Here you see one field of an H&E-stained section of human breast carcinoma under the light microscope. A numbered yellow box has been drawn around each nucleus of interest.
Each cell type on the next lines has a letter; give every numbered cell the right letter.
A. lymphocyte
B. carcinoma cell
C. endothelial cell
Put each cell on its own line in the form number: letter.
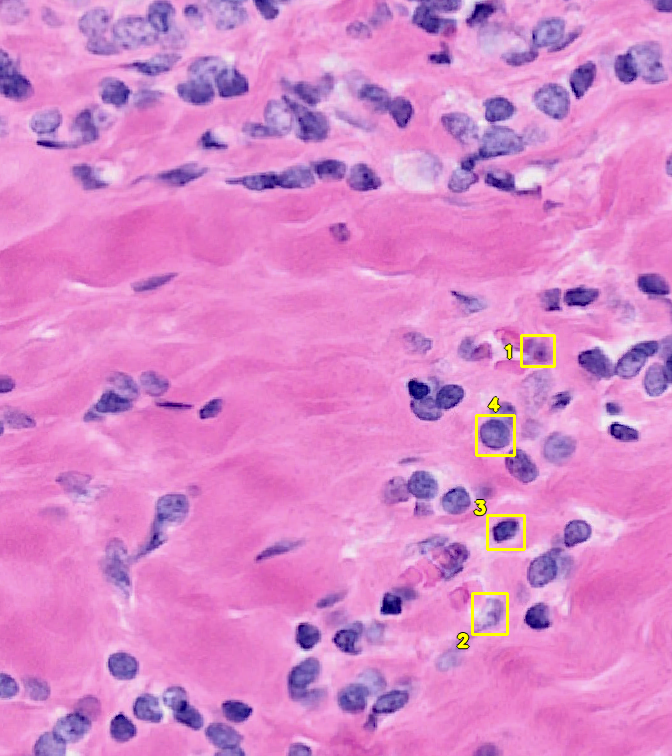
1: C
2: C
3: A
4: B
